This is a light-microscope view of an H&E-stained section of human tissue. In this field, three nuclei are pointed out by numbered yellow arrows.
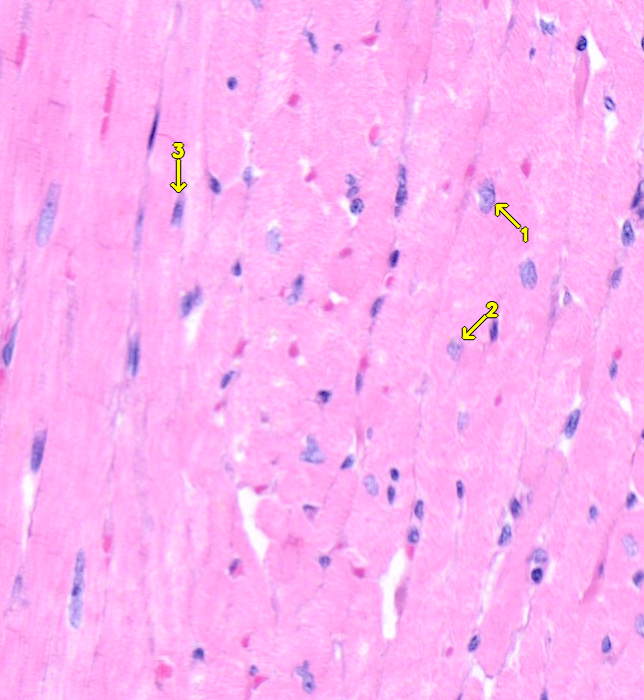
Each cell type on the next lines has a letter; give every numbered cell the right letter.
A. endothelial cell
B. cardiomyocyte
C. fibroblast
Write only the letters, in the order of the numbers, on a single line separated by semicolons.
B; B; A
